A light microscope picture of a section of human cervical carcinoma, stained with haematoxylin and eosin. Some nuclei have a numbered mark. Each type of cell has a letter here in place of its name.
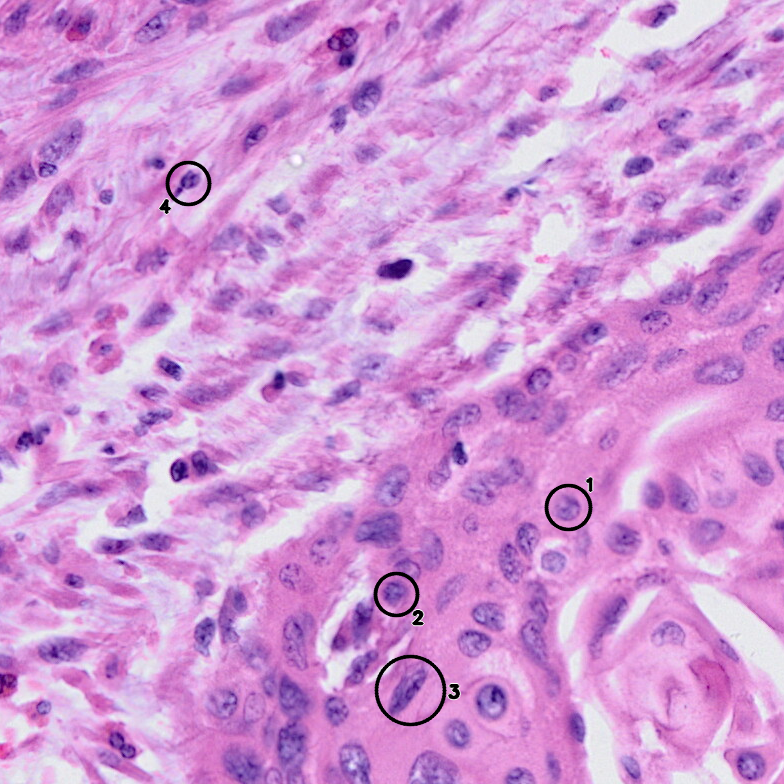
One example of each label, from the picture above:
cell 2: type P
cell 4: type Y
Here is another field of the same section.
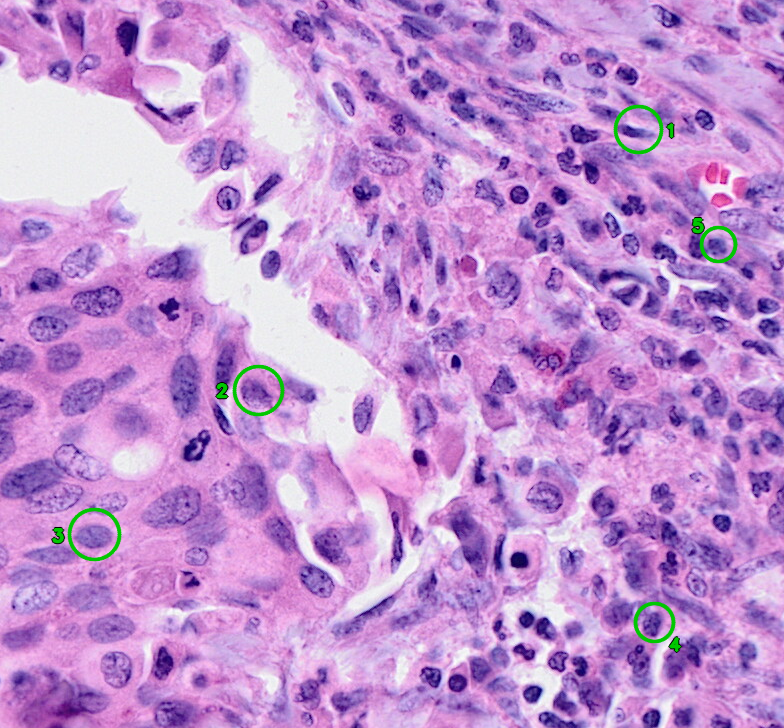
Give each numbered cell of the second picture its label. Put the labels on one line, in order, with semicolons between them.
type Y; type P; type P; type Y; type Y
